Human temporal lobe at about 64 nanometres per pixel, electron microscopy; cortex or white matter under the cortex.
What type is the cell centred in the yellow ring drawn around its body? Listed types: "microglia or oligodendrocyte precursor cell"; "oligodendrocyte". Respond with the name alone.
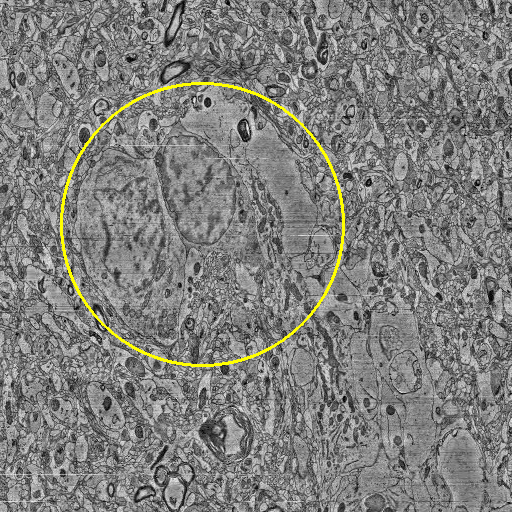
oligodendrocyte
